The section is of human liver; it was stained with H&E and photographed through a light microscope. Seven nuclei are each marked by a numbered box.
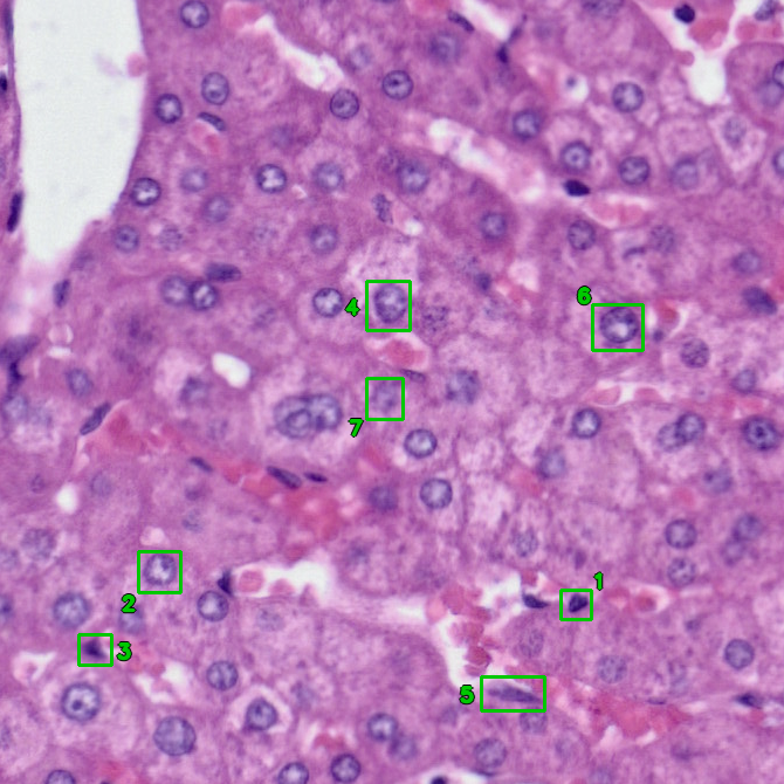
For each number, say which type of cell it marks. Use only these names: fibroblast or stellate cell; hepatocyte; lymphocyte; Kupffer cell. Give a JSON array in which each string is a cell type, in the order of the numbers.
["fibroblast or stellate cell", "hepatocyte", "fibroblast or stellate cell", "hepatocyte", "Kupffer cell", "hepatocyte", "hepatocyte"]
